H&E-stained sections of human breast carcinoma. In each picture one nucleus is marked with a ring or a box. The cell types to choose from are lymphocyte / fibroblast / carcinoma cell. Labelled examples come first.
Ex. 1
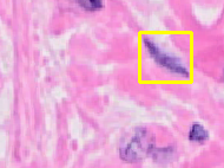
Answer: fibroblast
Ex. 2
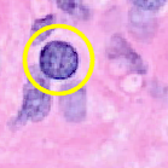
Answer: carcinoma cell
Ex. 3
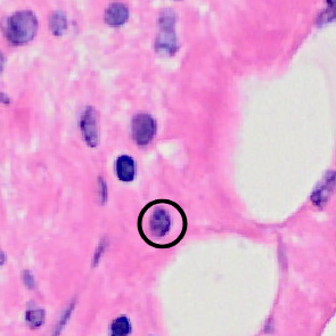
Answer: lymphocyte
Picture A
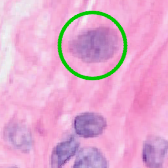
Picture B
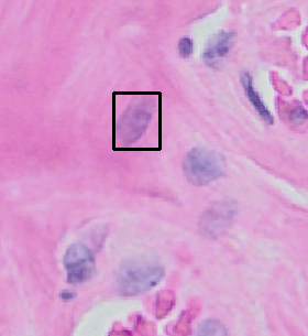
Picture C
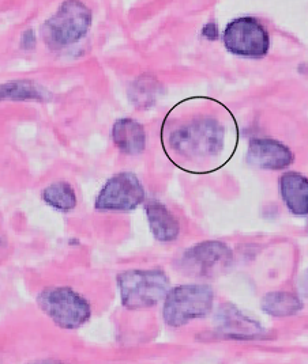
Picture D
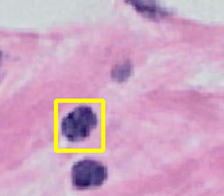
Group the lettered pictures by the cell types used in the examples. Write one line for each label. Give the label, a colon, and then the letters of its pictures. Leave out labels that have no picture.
lymphocyte: D
fibroblast: A, B
carcinoma cell: C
